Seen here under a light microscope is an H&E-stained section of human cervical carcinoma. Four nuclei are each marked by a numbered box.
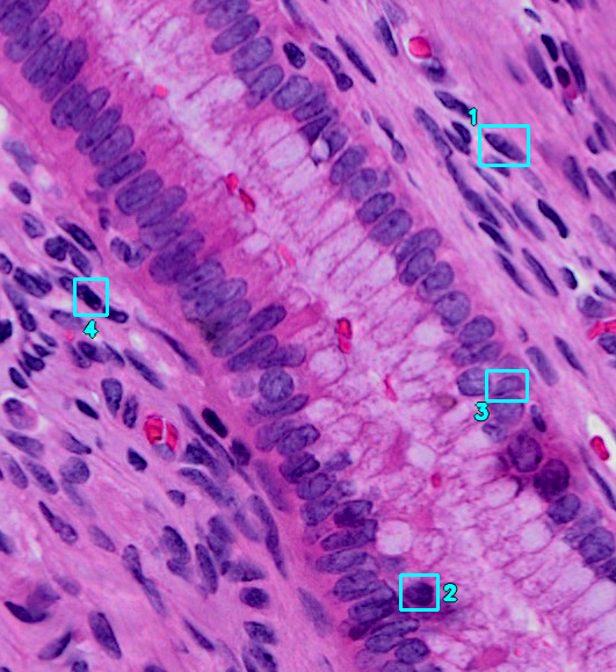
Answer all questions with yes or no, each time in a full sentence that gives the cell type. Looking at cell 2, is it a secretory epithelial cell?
Yes, as for number 2, the cell is a secretory epithelial cell.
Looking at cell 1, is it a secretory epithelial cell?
No, number 1 points to a fibroblast and not to a secretory epithelial cell.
